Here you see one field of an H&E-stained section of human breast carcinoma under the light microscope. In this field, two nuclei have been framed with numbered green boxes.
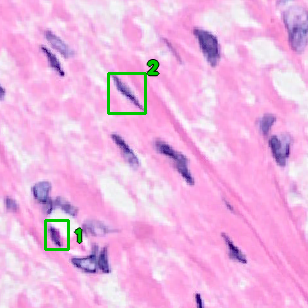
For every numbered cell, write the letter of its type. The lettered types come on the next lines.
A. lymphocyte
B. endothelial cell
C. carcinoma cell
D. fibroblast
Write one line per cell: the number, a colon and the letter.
1: B
2: D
